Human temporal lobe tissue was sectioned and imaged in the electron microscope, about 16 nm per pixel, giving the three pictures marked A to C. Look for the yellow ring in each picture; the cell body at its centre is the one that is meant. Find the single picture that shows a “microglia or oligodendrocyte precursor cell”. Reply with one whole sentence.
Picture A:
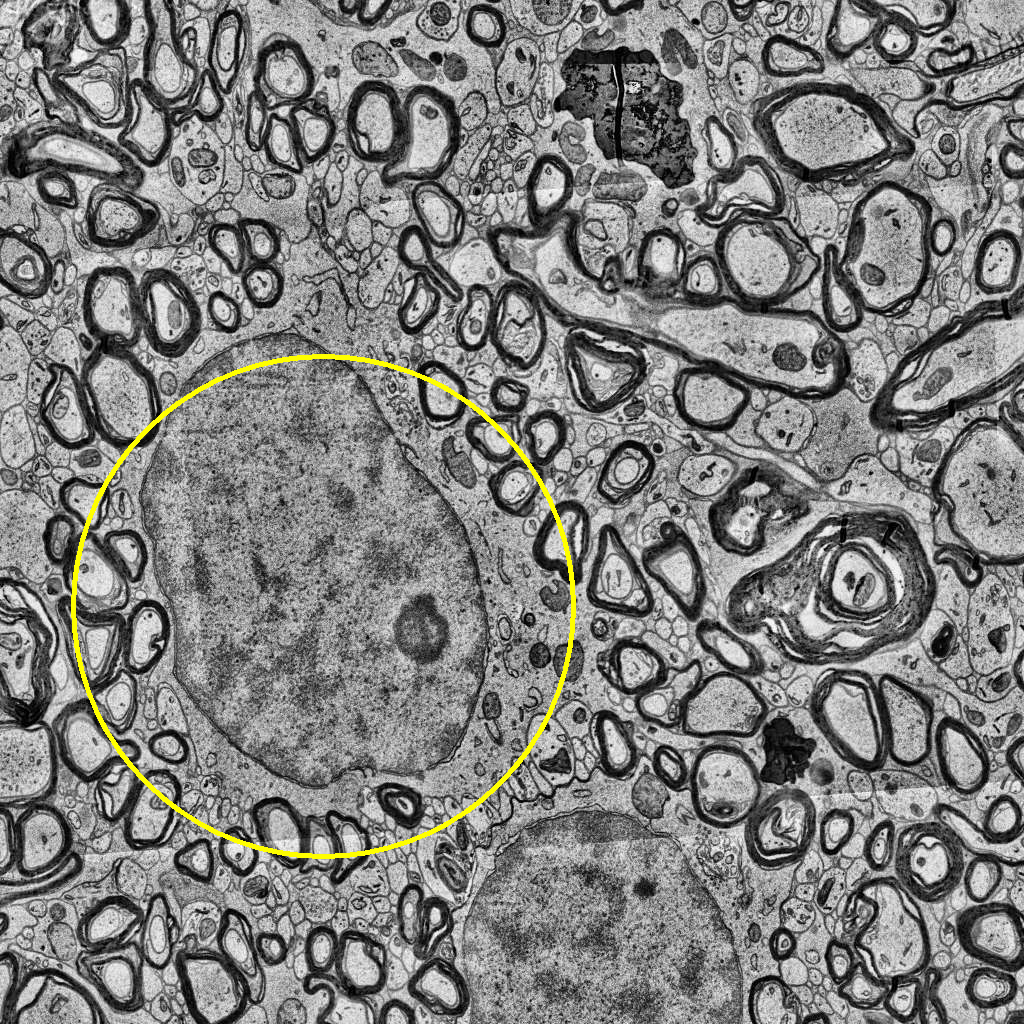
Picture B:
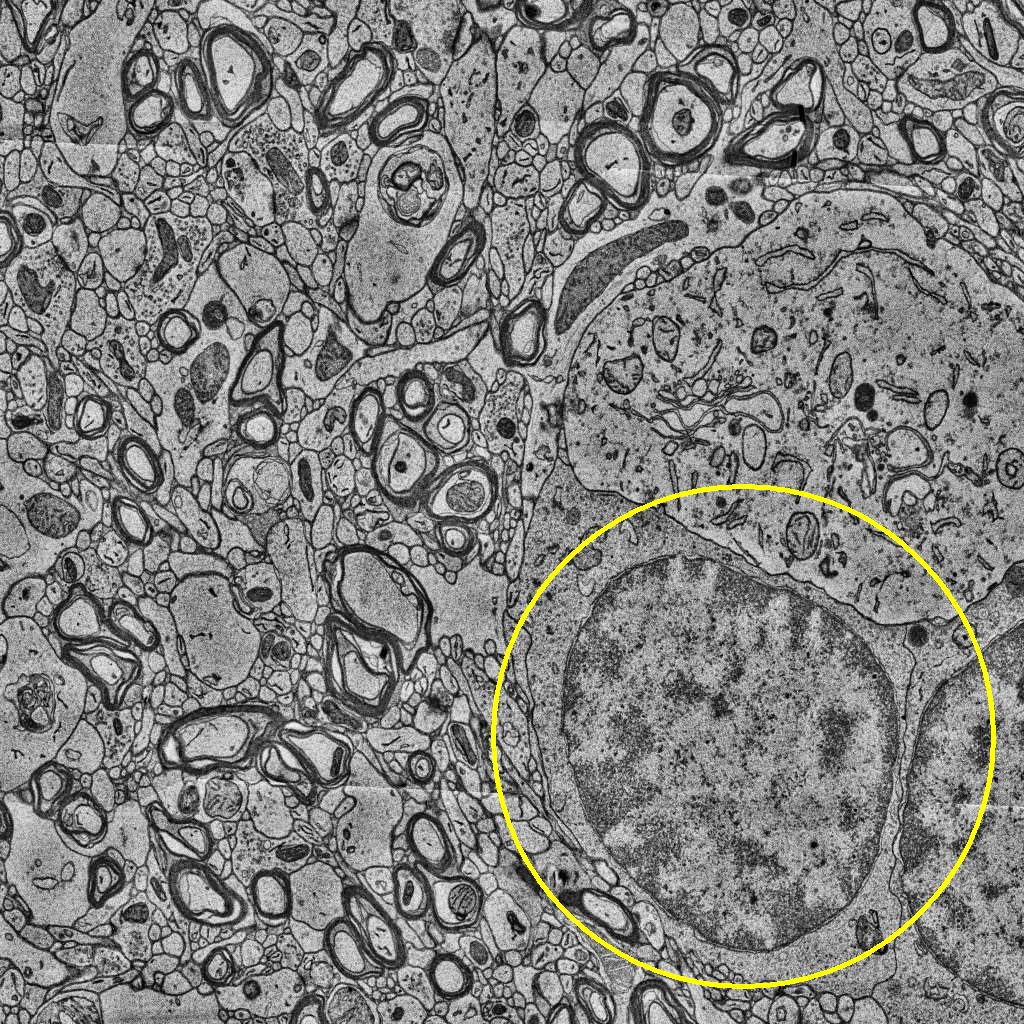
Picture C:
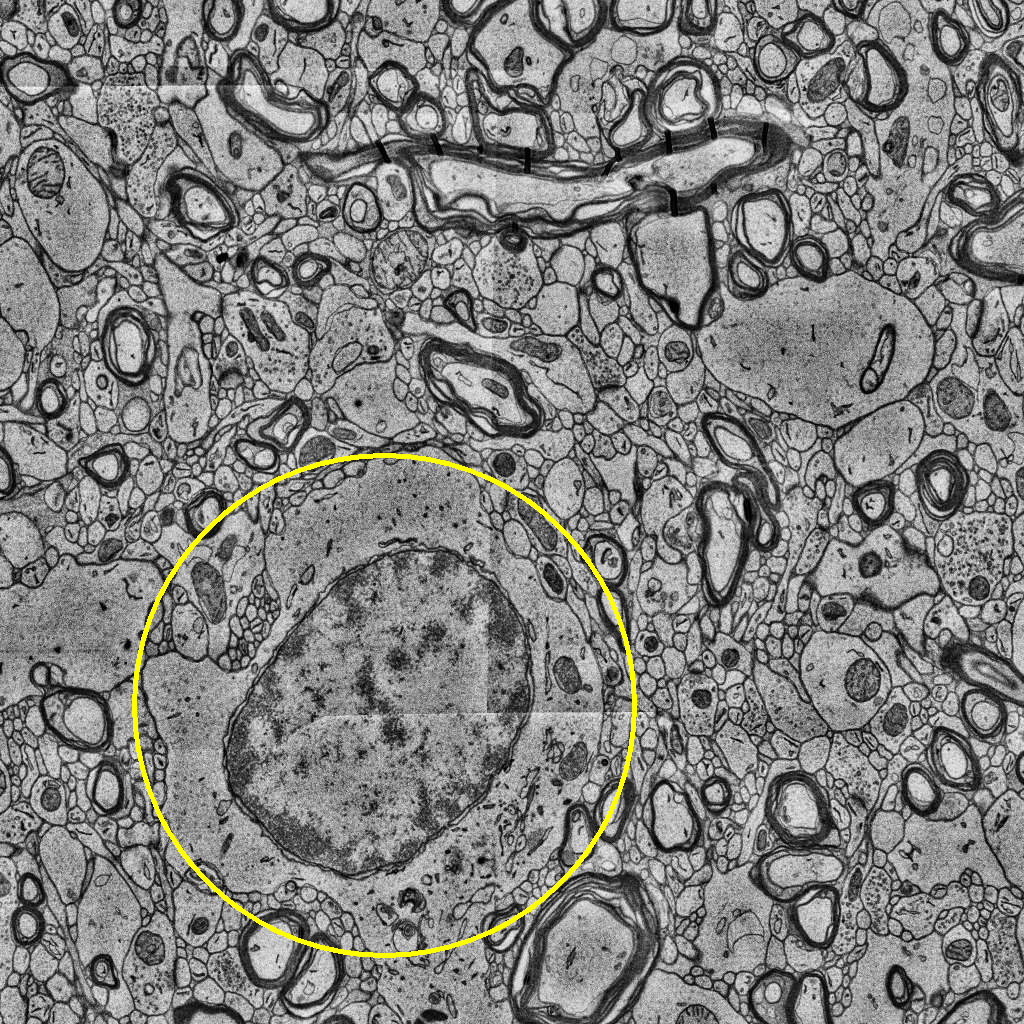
The “microglia or oligodendrocyte precursor cell” is the one in picture C.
